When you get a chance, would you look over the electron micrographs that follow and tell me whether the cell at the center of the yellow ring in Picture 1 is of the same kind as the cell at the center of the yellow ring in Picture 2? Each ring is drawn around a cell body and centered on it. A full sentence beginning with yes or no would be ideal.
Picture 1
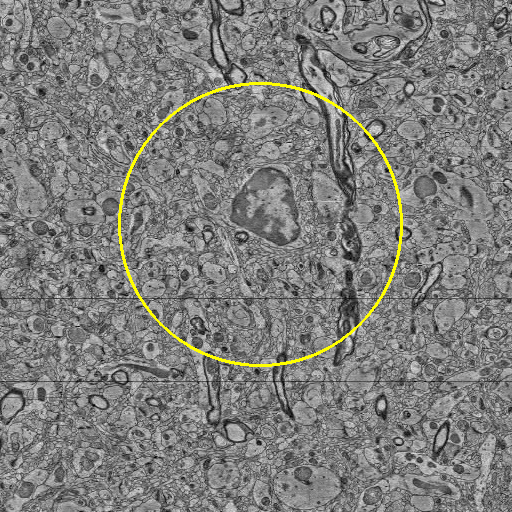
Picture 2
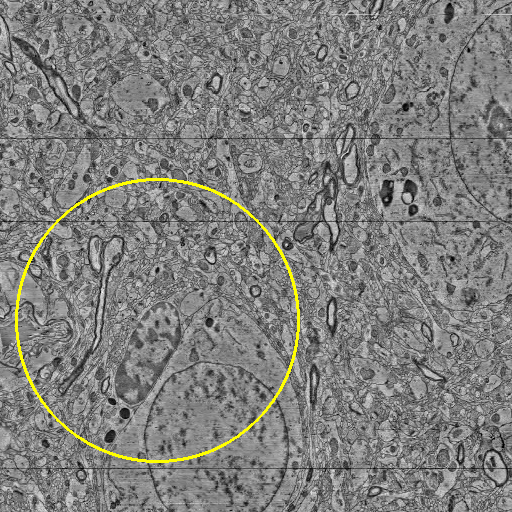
Yes, the two cells are of the same kind.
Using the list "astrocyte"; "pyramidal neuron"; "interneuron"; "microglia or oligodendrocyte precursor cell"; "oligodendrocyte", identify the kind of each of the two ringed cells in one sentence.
In both pictures the ring is centred on a microglial cell or oligodendrocyte precursor cell.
